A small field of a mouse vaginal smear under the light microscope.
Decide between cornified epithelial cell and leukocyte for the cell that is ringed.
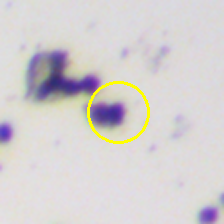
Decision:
I take the ringed cell for a leukocyte.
